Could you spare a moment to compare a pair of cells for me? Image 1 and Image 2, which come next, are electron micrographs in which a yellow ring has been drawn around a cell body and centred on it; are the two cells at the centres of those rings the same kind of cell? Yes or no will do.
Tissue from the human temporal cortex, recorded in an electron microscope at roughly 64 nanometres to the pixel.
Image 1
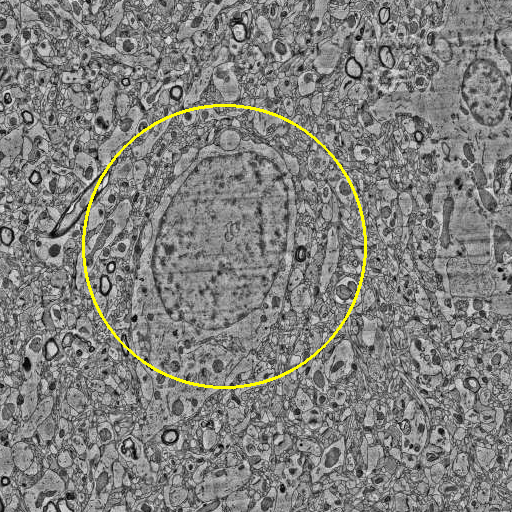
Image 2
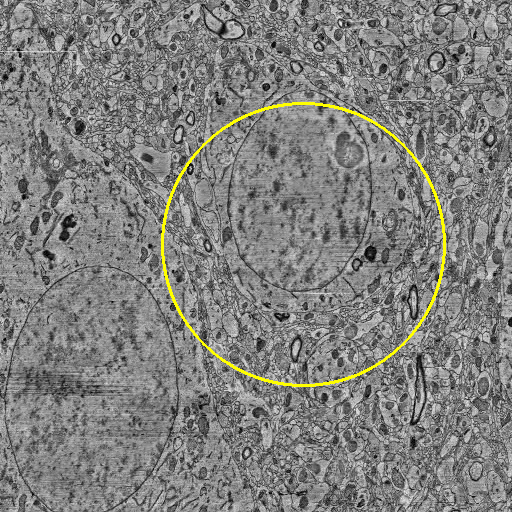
no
